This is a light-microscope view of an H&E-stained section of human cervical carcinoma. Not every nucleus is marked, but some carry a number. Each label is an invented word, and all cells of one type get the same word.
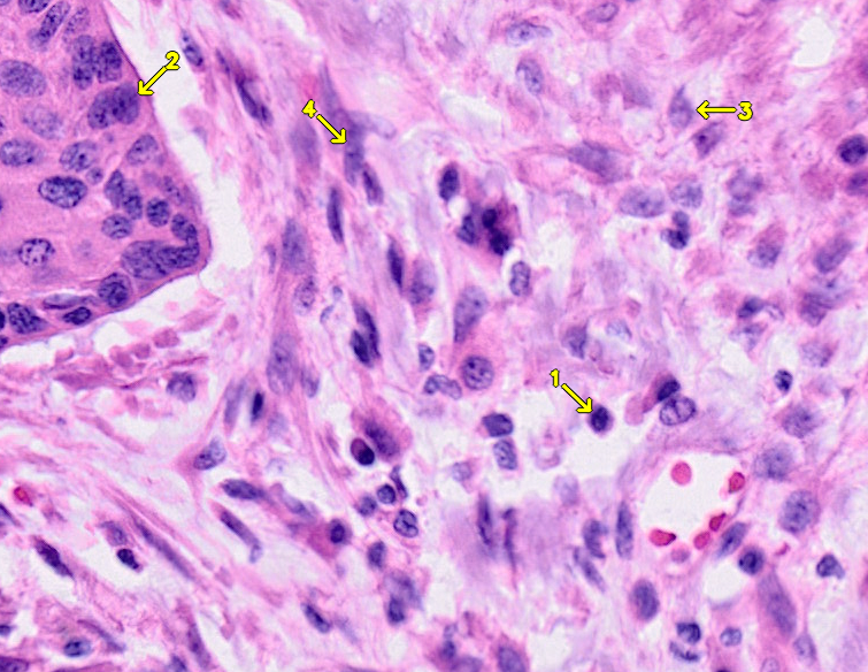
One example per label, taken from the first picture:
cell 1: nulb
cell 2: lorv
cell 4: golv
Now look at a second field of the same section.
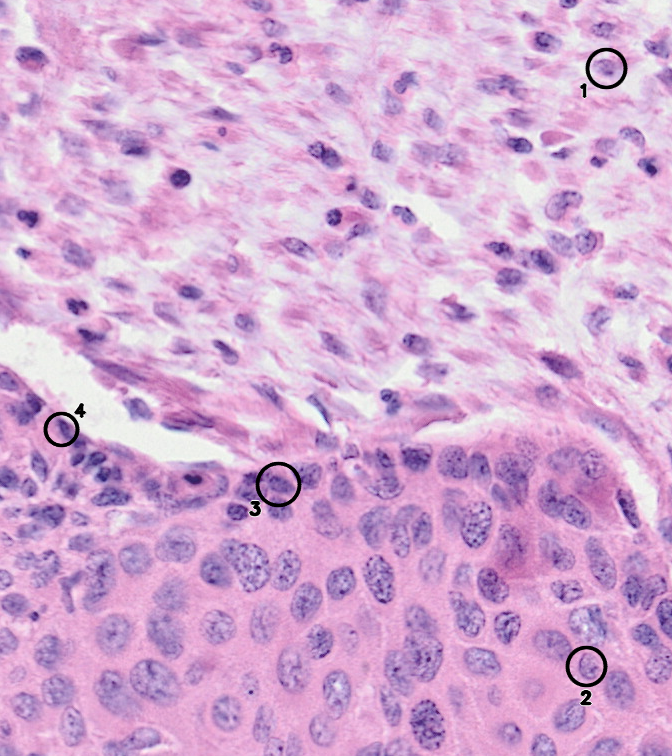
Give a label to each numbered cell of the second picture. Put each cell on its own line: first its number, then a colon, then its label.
1: golv
2: lorv
3: lorv
4: lorv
